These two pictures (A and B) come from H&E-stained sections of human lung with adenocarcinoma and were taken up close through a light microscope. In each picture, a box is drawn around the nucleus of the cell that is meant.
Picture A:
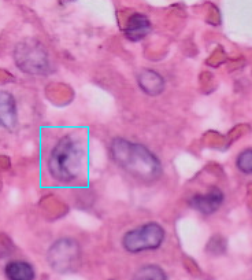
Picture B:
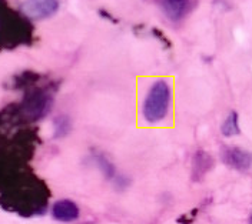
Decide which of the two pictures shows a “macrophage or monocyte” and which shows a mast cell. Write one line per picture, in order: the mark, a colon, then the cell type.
A: macrophage or monocyte
B: mast cell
